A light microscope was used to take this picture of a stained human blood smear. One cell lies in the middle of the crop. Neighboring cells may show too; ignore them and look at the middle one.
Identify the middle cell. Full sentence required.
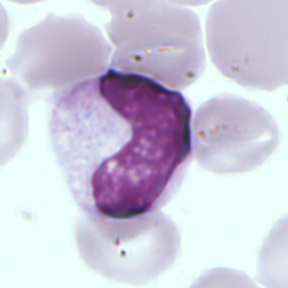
Centrally within this crop lies a band neutrophil.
